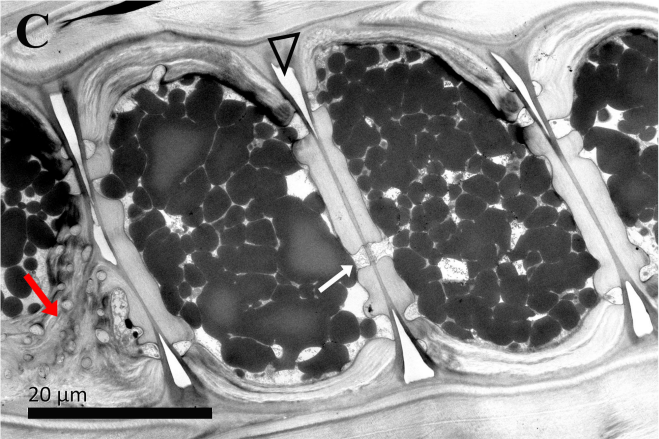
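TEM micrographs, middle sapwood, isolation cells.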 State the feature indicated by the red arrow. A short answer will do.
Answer: Sieve-like pits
